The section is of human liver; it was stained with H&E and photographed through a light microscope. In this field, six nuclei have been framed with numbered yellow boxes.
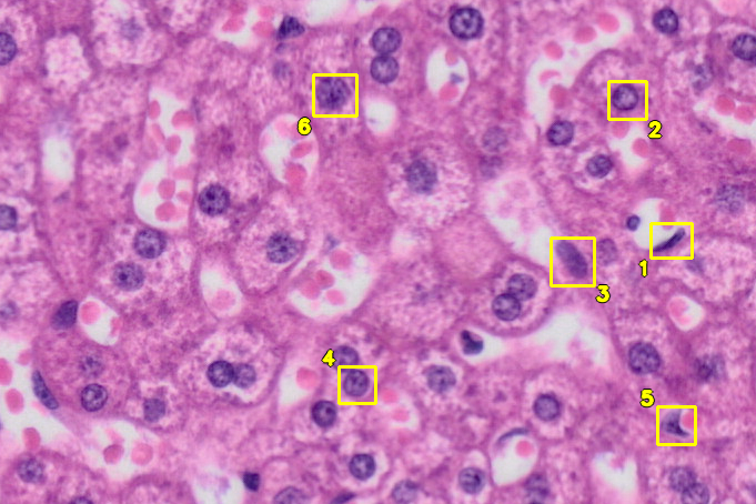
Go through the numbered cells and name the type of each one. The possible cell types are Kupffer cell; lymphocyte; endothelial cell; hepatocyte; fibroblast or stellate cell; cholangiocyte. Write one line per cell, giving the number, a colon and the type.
1: endothelial cell
2: hepatocyte
3: Kupffer cell
4: hepatocyte
5: endothelial cell
6: hepatocyte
